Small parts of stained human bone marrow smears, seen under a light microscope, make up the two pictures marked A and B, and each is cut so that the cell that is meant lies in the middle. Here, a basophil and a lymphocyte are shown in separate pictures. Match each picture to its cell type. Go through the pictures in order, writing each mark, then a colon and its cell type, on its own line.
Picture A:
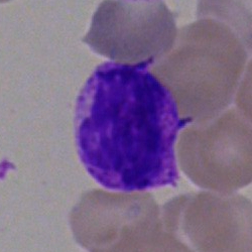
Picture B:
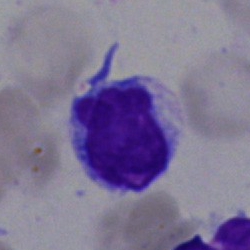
A: basophil
B: lymphocyte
